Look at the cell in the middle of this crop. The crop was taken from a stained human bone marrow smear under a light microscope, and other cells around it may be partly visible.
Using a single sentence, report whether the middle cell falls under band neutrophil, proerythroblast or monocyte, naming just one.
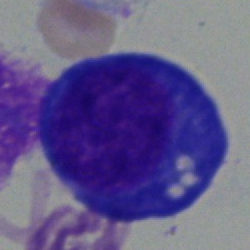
The central cell, amid any neighbouring cells, is a proerythroblast.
